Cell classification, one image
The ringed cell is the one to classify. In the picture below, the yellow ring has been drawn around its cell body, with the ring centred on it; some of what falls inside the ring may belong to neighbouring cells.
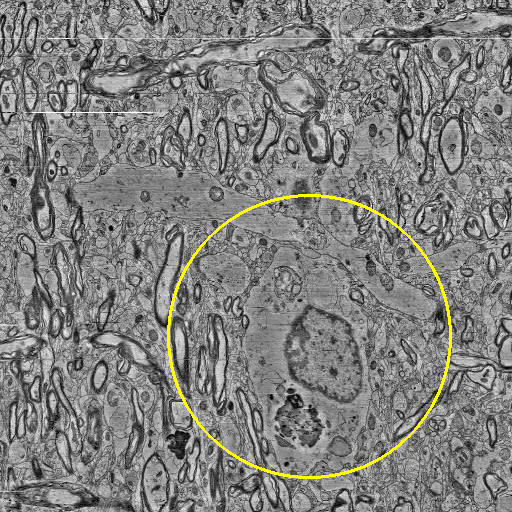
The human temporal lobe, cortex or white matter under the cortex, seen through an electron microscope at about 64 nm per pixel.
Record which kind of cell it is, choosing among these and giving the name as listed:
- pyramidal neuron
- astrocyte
astrocyte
